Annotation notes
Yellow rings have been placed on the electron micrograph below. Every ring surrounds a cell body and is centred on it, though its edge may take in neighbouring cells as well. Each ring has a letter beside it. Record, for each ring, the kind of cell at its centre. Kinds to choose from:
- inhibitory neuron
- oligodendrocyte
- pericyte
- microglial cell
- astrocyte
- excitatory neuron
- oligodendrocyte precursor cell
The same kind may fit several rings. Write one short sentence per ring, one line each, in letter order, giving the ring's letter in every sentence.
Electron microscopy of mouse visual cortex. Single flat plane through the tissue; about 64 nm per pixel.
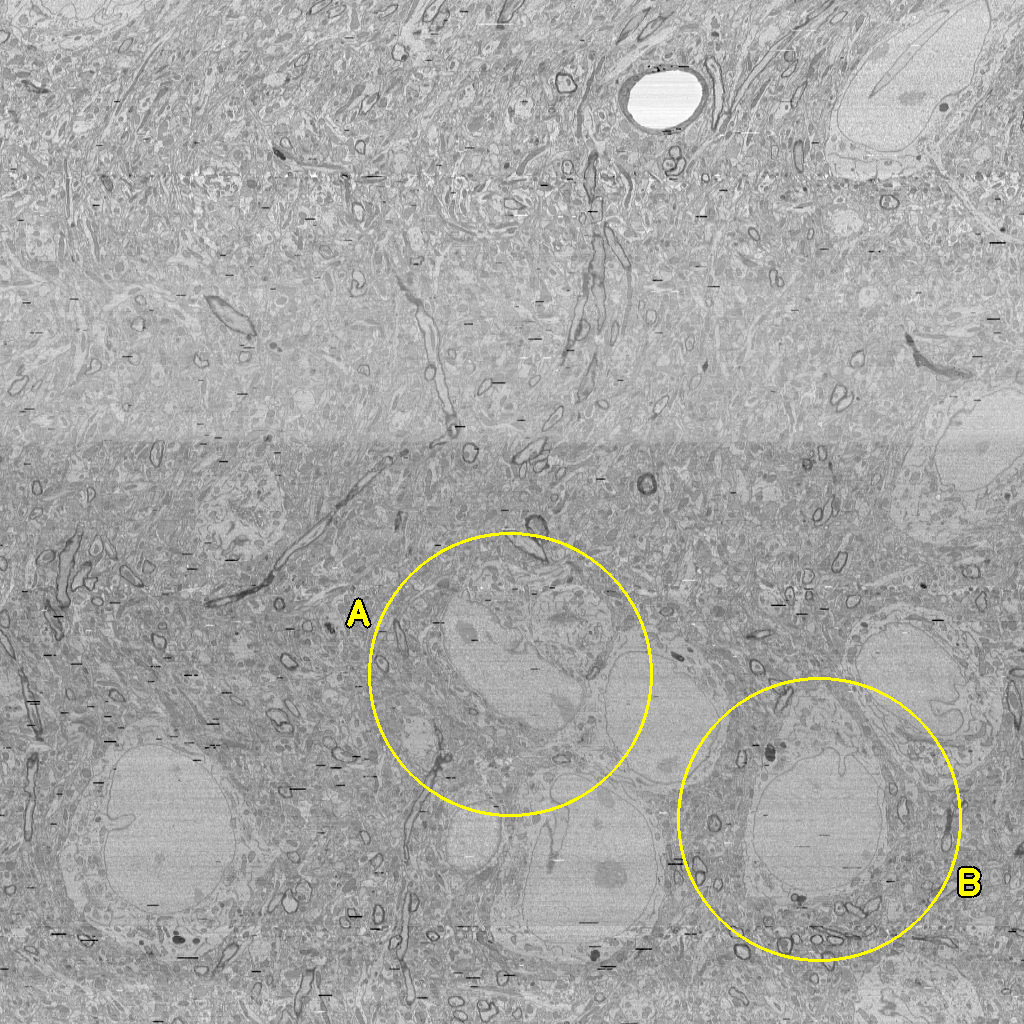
Ring A surrounds an oligodendrocyte precursor cell.
Ring B surrounds an excitatory neuron.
